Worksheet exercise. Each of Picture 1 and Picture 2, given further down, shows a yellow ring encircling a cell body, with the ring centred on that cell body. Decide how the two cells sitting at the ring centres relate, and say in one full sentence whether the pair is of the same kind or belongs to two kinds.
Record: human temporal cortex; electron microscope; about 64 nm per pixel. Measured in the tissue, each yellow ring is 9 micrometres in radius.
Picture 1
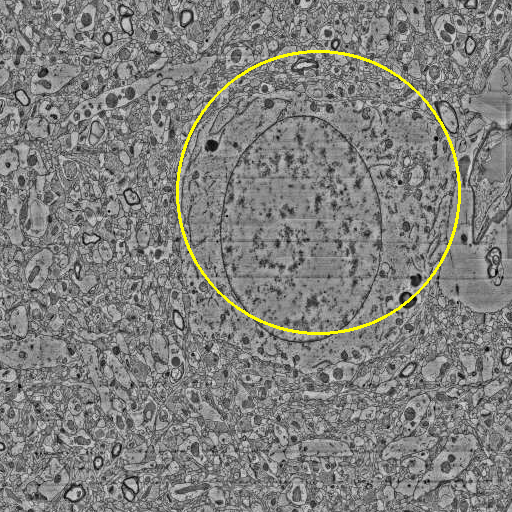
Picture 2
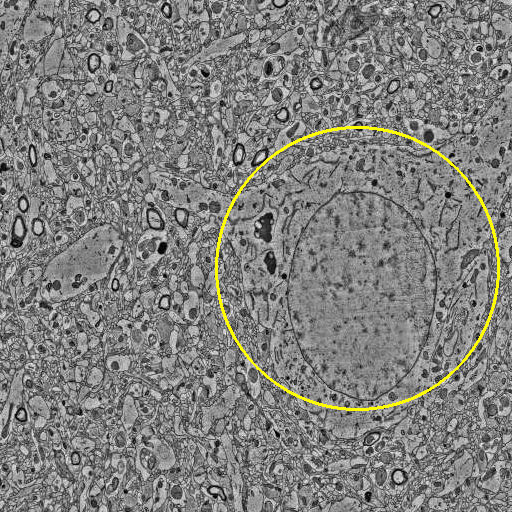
The cells at the ring centres in Picture 1 and Picture 2 are of the same kind.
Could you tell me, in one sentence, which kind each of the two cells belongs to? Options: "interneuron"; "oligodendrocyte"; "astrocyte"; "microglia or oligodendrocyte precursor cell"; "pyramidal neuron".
In both pictures the ring is centred on a pyramidal neuron.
